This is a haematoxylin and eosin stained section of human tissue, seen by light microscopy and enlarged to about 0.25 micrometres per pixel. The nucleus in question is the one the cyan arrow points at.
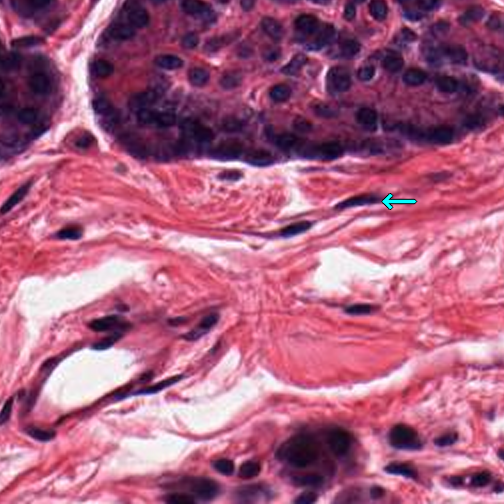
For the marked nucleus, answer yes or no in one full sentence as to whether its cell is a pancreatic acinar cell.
No, it is a supporting cell whose nucleus is marked, not a pancreatic acinar cell.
